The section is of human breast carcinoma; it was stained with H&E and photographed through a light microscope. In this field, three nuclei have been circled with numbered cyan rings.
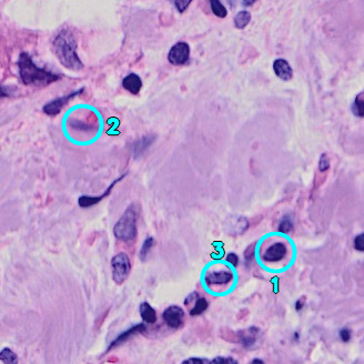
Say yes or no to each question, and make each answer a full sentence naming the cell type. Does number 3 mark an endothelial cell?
No, cell 3 should be read as a lymphocyte instead of an endothelial cell.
